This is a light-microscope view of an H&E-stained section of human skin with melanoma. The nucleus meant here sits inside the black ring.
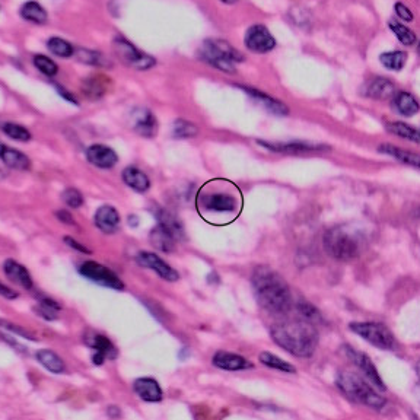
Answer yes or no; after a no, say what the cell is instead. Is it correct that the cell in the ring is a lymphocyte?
Yes.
